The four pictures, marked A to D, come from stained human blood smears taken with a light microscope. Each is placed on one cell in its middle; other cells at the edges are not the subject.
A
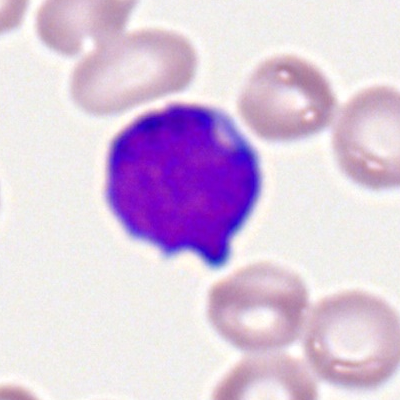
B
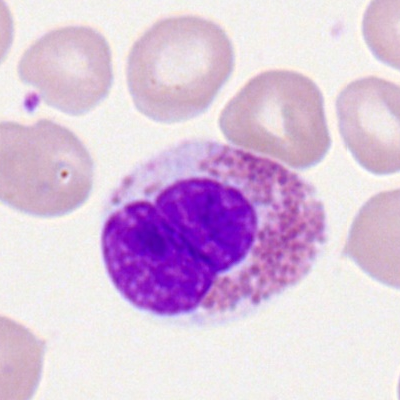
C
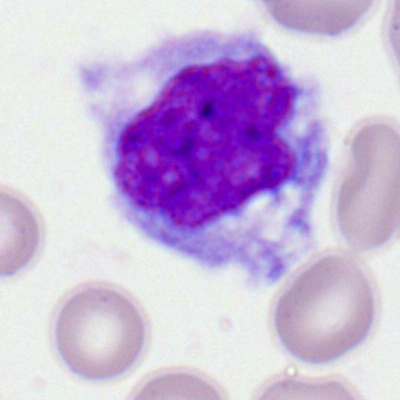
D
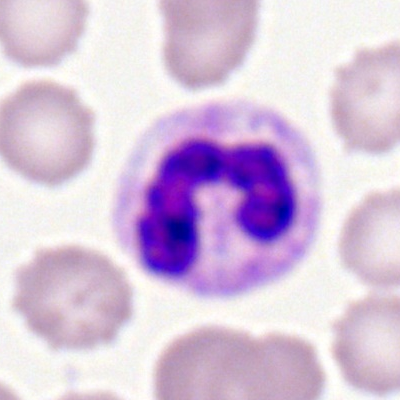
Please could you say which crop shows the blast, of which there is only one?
A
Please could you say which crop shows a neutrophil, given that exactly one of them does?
D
